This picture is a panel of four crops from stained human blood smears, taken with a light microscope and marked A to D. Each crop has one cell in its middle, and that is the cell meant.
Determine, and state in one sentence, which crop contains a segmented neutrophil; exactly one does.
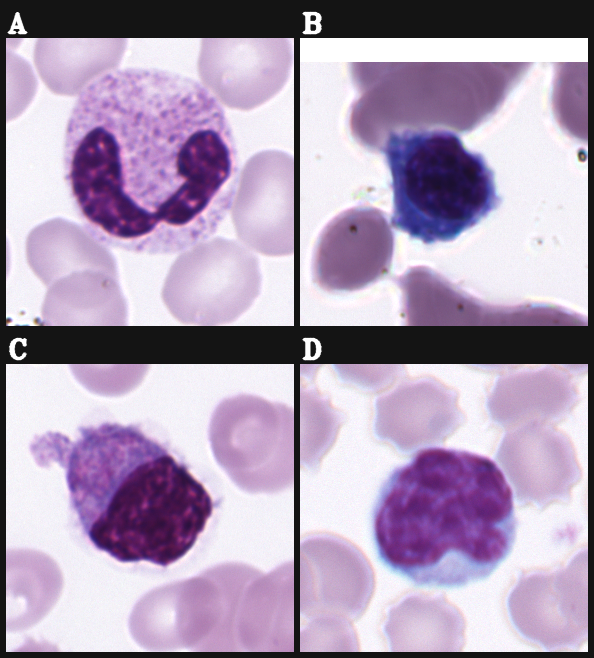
The crop carrying a segmented neutrophil at the center is crop A.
